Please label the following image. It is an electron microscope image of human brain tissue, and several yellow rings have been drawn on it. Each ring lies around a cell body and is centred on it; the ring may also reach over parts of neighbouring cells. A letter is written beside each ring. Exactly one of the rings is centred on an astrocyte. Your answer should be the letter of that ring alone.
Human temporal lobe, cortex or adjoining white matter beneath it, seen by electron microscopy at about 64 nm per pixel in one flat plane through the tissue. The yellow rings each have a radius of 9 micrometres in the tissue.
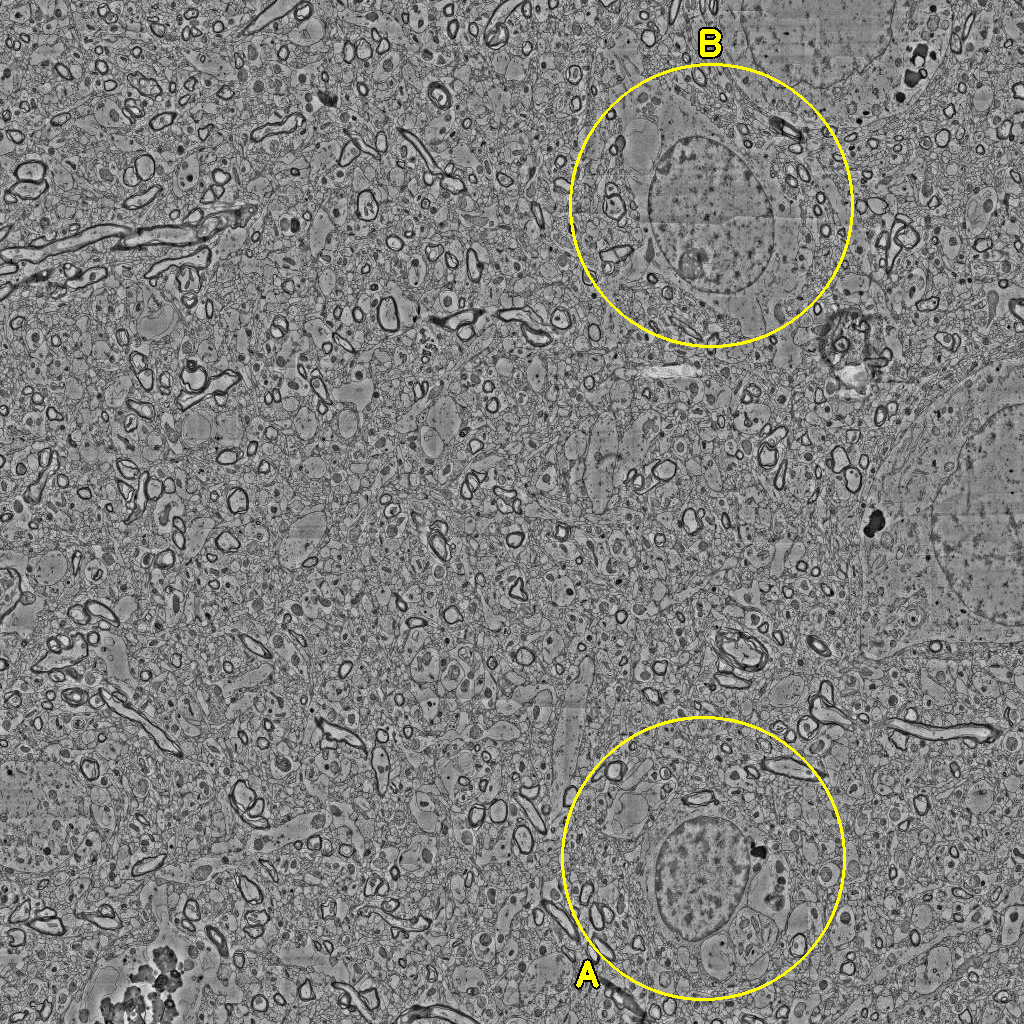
B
